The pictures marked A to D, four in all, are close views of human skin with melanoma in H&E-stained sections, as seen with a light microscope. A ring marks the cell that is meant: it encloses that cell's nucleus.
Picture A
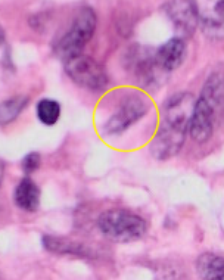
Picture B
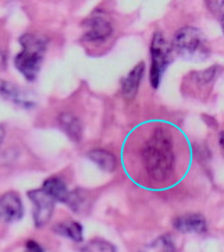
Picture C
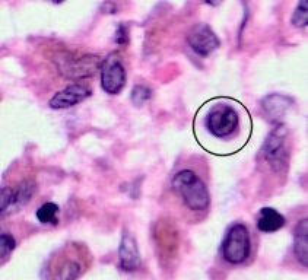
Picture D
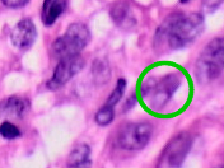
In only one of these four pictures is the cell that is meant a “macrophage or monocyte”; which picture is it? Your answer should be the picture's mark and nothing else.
C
